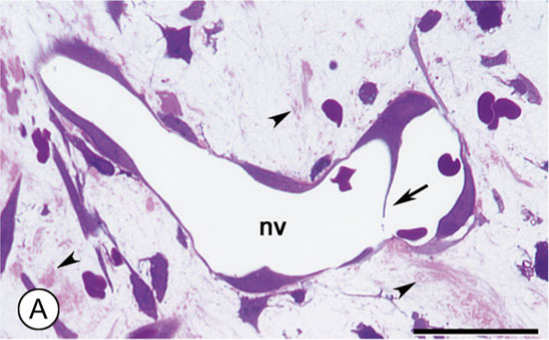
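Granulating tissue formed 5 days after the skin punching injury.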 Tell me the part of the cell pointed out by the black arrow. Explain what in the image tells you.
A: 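Slender cytoplasmic process. A thin strand of the vessel wall extends across the lumen where the arrow points. The strand is continuous with the thin lining of the vessel.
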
